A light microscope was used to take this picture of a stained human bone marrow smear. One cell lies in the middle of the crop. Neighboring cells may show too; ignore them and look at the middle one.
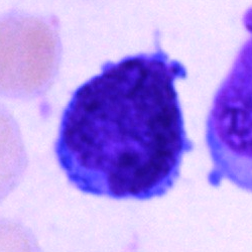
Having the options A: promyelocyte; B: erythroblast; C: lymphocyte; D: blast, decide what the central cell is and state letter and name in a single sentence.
Option D is accurate; the centrally placed cell is a blast.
